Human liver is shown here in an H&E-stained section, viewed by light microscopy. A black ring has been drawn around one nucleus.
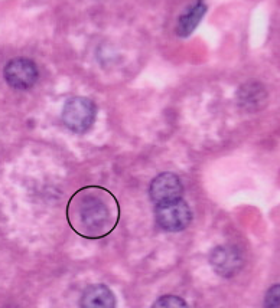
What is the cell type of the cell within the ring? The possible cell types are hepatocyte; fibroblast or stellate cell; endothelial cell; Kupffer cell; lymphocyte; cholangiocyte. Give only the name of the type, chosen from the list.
hepatocyte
